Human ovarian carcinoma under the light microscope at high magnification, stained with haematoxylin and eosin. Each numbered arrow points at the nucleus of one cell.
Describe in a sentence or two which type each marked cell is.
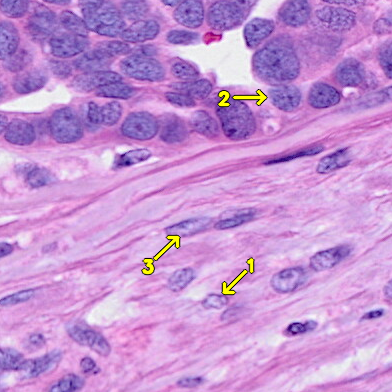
Cell 1 is a fibroblast, cell 2 is a carcinoma cell and cell 3 is a fibroblast.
